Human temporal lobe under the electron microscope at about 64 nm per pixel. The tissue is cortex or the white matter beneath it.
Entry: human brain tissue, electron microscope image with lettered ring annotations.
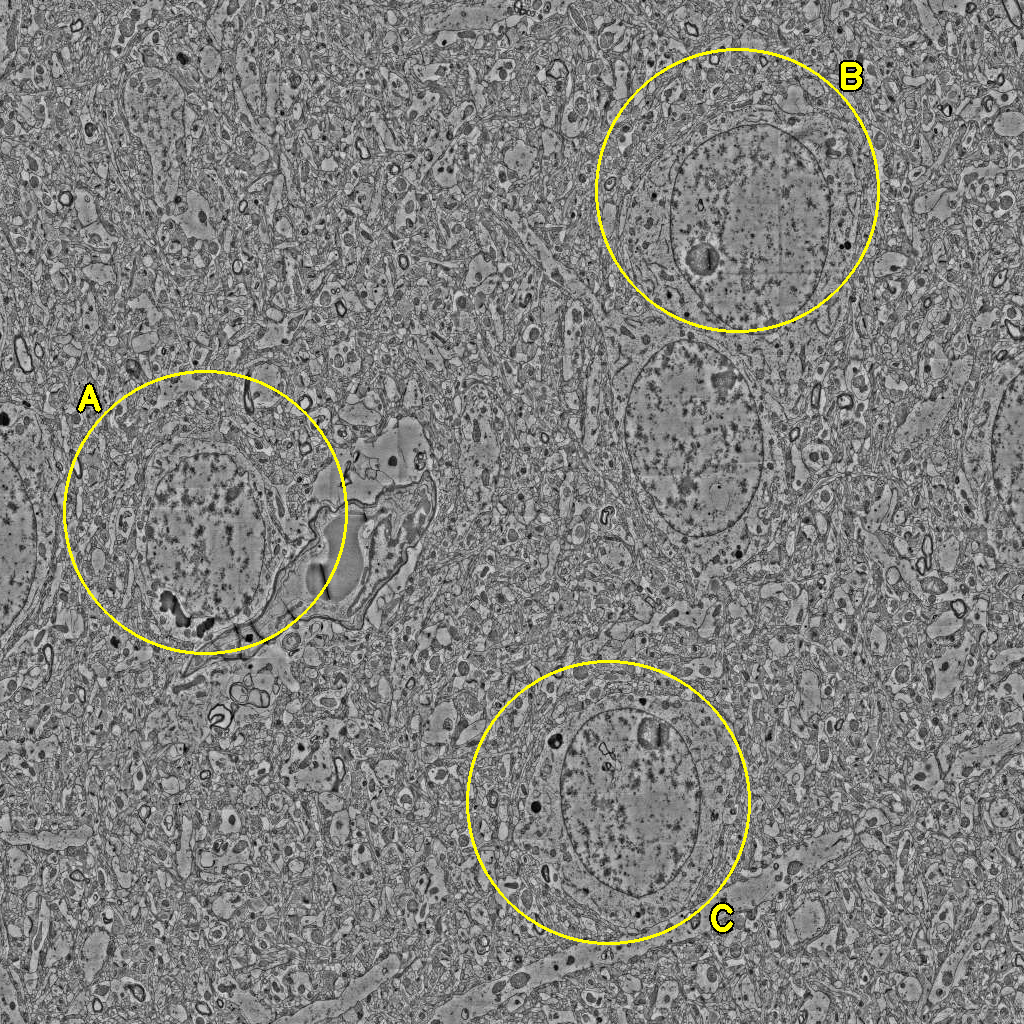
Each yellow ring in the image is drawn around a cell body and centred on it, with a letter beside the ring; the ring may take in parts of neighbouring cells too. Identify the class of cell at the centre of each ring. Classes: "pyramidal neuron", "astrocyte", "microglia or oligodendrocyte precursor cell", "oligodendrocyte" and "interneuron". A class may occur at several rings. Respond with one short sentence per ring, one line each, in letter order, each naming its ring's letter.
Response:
Ring A holds an interneuron at its centre.
Ring B holds a pyramidal neuron at its centre.
Ring C holds a pyramidal neuron at its centre.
